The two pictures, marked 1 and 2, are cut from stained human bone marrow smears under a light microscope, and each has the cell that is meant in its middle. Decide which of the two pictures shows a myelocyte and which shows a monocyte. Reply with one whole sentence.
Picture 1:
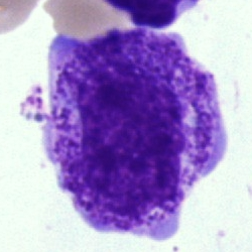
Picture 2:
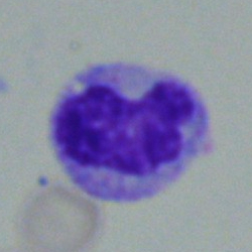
In picture 1 the cell is a myelocyte; in picture 2, a monocyte.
